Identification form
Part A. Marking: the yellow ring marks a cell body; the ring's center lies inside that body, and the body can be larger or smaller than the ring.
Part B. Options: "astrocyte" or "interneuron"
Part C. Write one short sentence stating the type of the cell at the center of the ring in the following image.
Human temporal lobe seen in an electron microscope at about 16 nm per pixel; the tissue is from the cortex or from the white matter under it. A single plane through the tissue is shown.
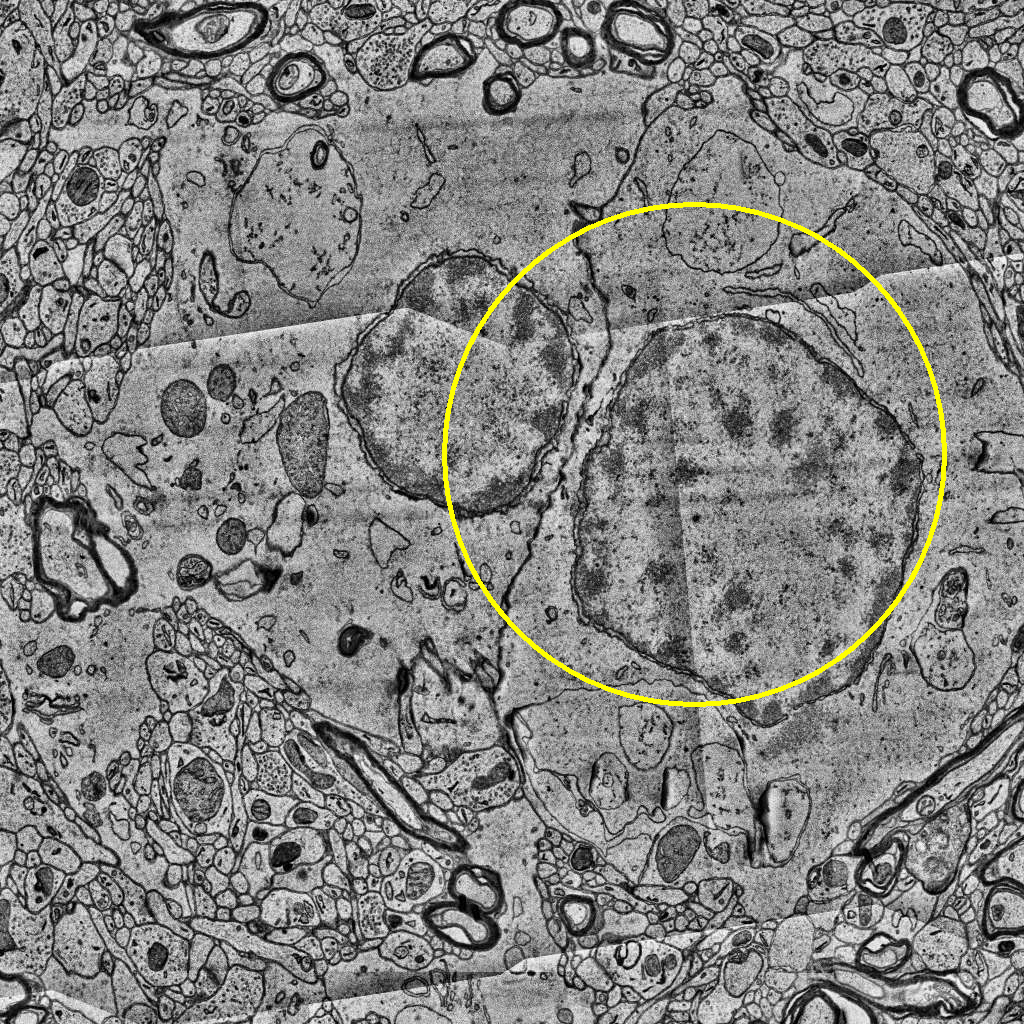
The center of the ring holds an astrocyte.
